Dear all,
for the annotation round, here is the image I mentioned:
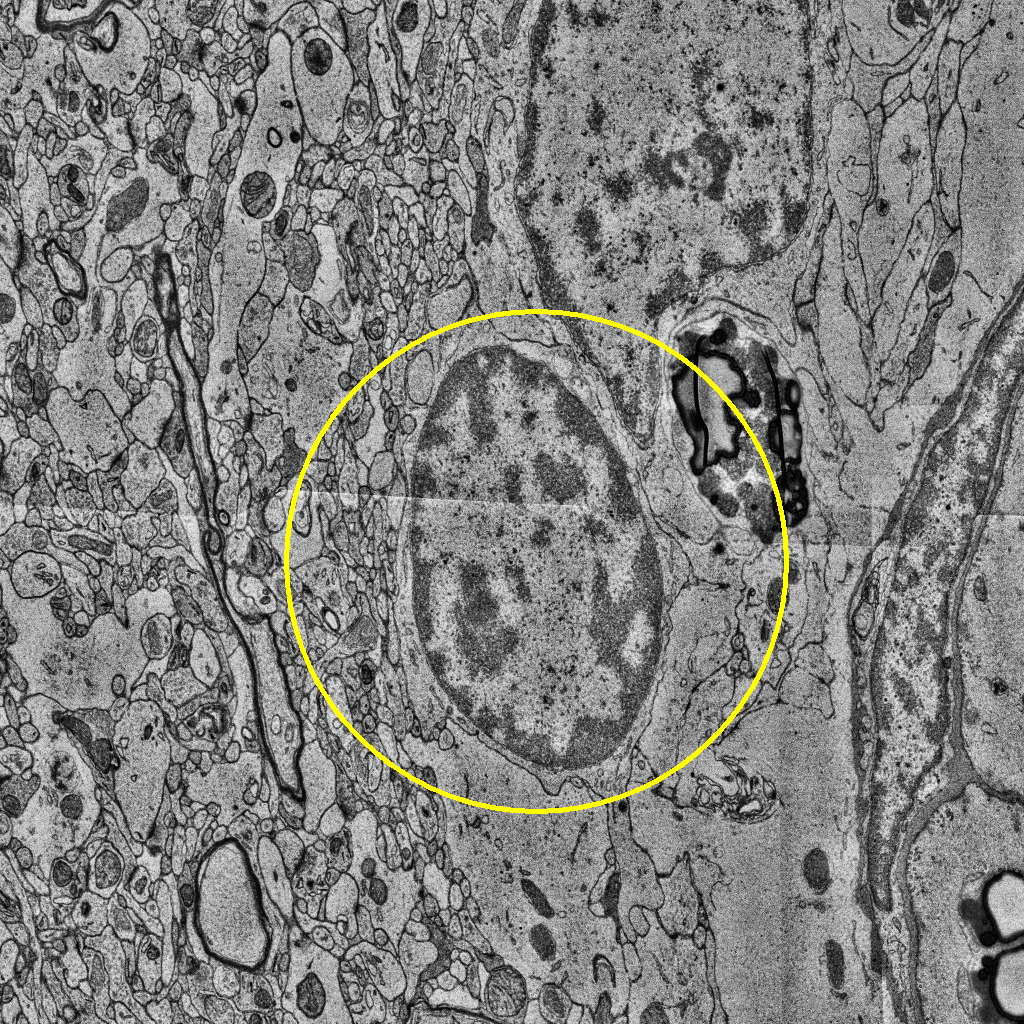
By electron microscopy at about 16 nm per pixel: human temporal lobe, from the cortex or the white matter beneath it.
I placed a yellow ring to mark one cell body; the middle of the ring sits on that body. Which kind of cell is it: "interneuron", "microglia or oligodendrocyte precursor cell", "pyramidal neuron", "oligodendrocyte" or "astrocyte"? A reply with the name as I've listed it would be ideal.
microglia or oligodendrocyte precursor cell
